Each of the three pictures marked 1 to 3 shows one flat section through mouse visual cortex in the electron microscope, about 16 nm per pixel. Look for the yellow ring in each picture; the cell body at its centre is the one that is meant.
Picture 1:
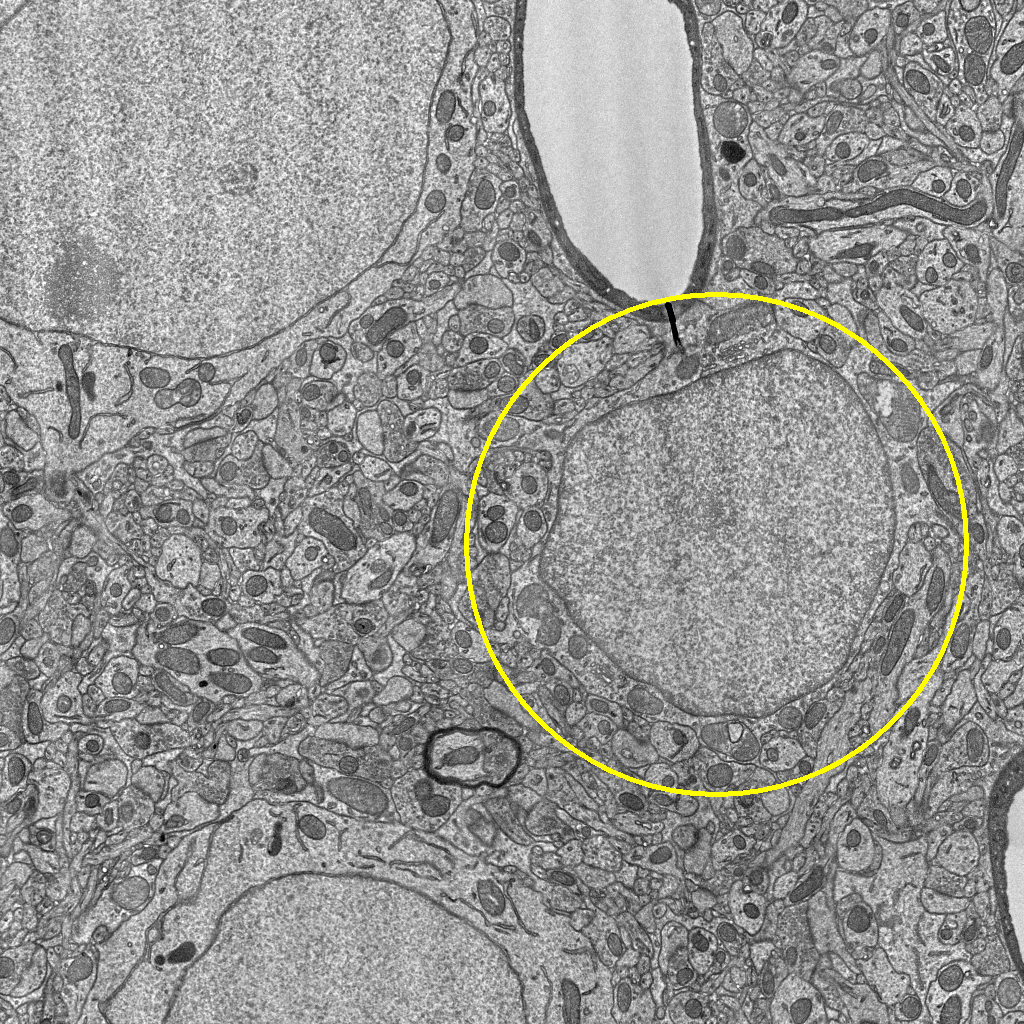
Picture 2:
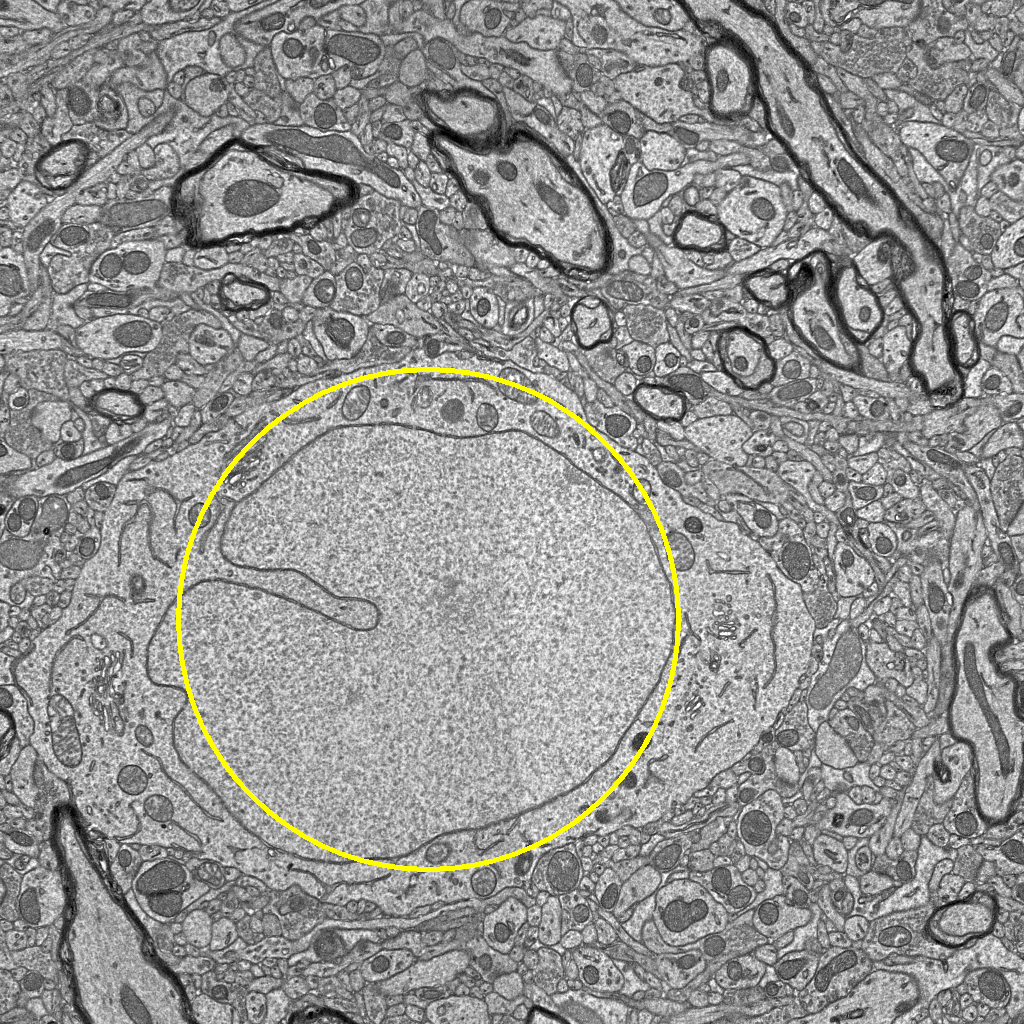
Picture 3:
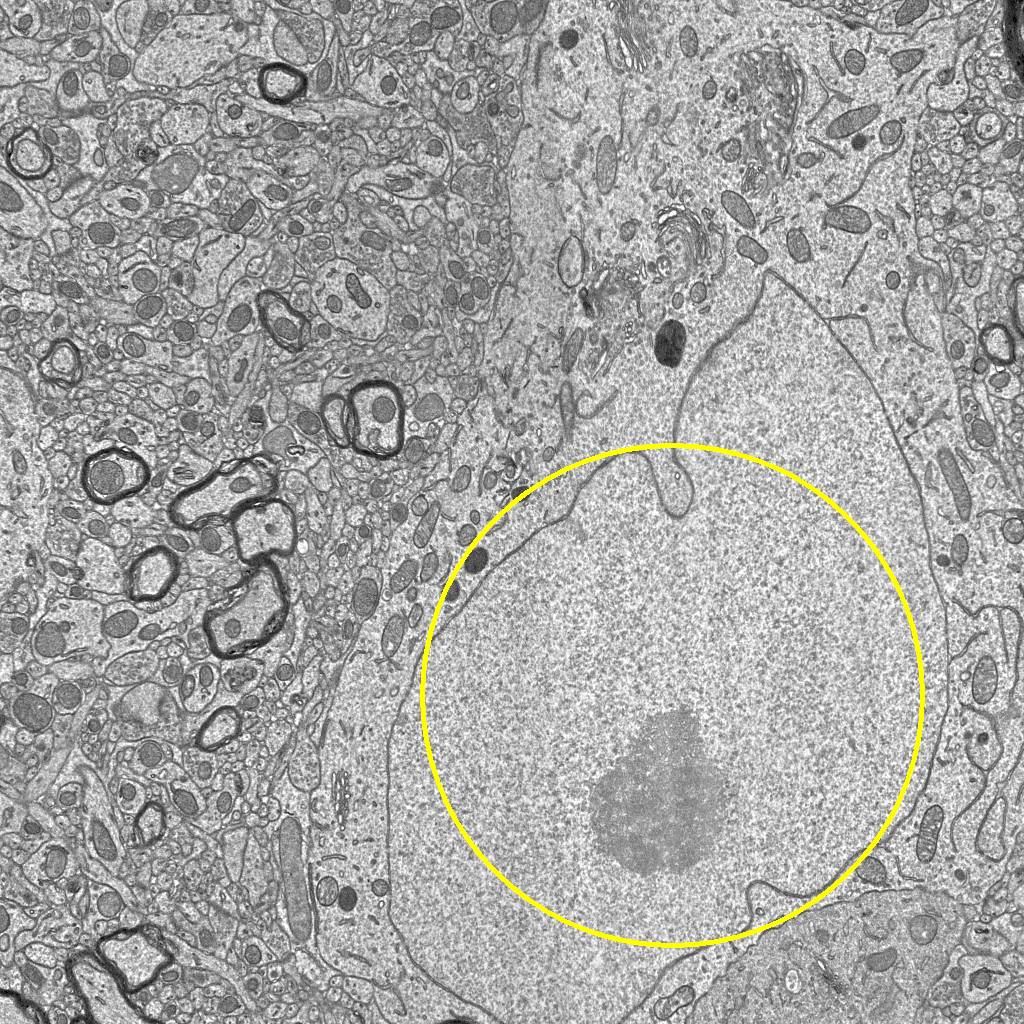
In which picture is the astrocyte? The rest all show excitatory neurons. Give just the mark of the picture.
1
